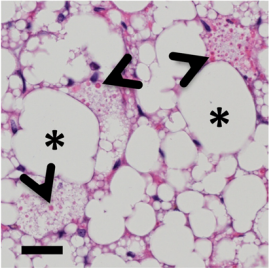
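Brown adipose tissue at high magnification, with multilocular adipocytes and several much larger clear round spaces, each a single big lipid droplet surrounded by a thin pink rim. The multilocular cells have cytoplasm broken up by many small clear vacuoles of varied size, and between them lie patches of finely granular, pink-stained cytoplasm containing enlarged granules. Small, dark purple, often flattened nuclei sit at the cell edges and along the thin strands between cells. The mixture of a few huge single droplets among many small ones points to lipid accumulation in the tissue.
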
